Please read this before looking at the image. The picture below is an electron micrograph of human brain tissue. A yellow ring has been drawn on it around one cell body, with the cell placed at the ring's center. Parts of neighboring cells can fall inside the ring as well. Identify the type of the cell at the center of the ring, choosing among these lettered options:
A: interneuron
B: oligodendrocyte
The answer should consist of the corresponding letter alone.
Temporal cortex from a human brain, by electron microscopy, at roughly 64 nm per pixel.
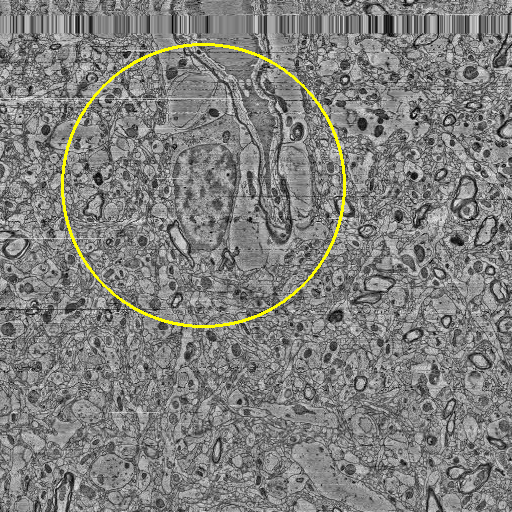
B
